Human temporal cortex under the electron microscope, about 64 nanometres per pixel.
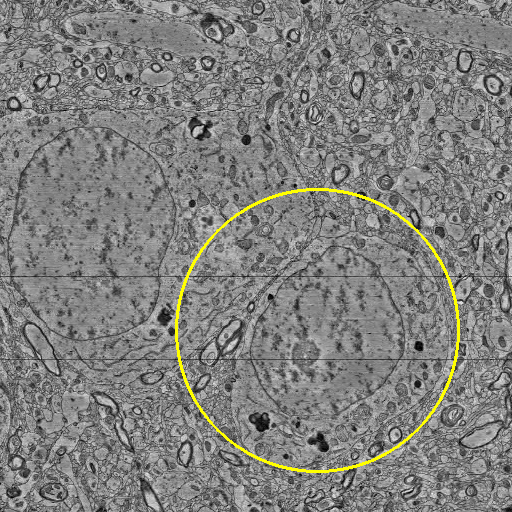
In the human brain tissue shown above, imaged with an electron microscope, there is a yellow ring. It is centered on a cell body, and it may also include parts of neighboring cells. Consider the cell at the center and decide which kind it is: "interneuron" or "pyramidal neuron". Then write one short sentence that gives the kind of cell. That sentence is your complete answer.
This centered cell body is that of a pyramidal neuron.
